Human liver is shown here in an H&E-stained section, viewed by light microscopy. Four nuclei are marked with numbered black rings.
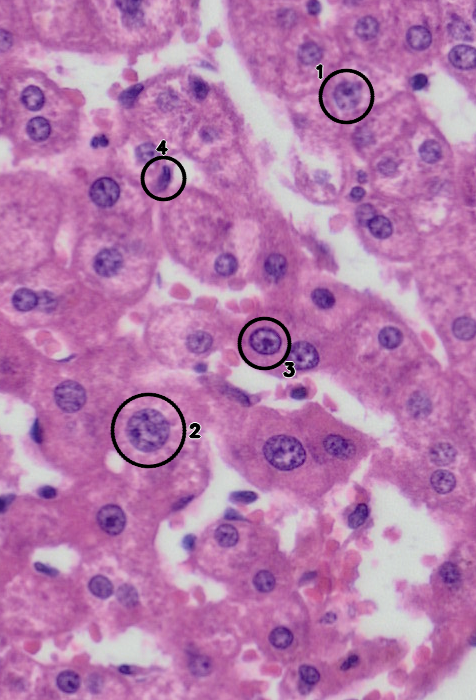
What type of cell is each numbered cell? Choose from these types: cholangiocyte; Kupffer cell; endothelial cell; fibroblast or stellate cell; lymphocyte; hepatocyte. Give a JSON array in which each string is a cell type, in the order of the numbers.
["hepatocyte", "hepatocyte", "hepatocyte", "Kupffer cell"]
